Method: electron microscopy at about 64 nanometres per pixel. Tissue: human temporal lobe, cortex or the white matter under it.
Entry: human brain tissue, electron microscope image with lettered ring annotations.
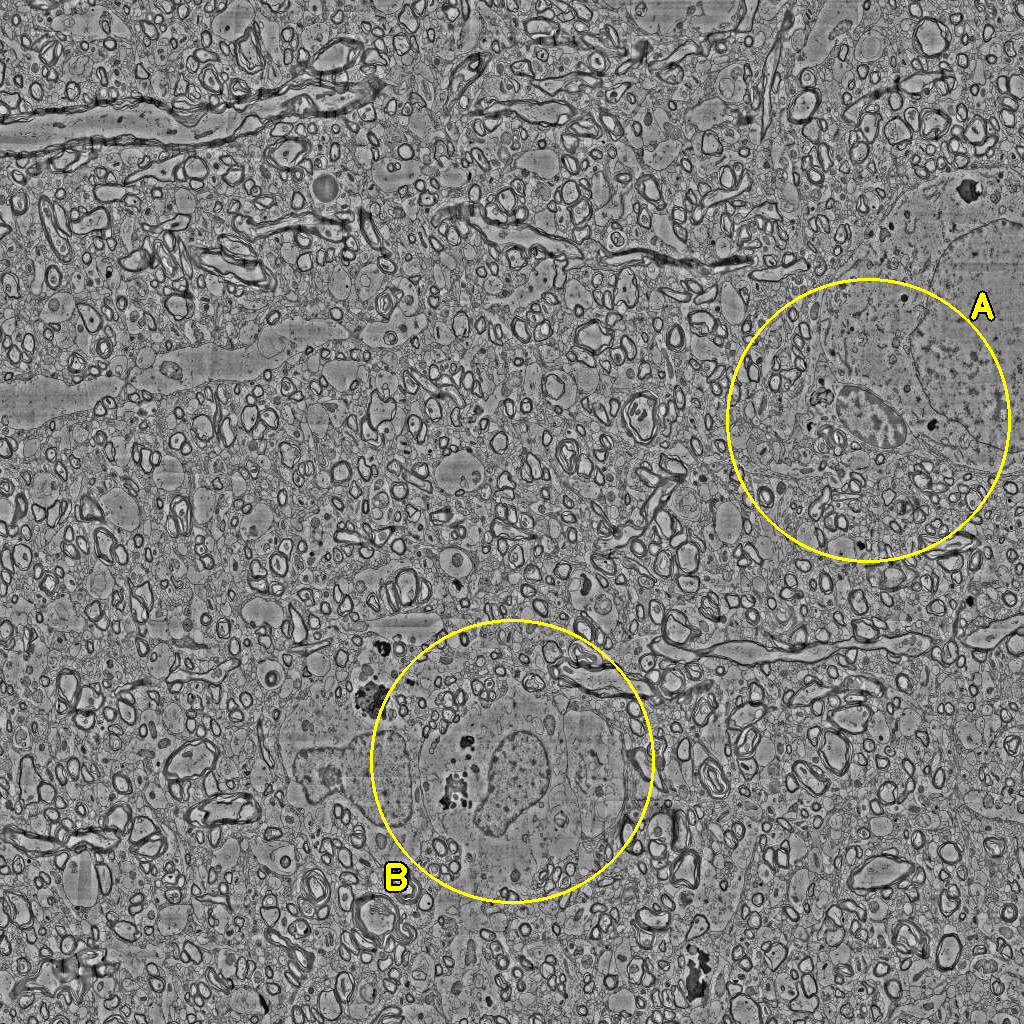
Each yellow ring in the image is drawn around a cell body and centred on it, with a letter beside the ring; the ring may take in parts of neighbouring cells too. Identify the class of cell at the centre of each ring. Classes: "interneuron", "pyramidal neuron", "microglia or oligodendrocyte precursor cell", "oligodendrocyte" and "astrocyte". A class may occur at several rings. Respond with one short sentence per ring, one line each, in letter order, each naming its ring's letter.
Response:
Ring A holds a microglial cell or oligodendrocyte precursor cell at its centre.
Ring B holds an astrocyte at its centre.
